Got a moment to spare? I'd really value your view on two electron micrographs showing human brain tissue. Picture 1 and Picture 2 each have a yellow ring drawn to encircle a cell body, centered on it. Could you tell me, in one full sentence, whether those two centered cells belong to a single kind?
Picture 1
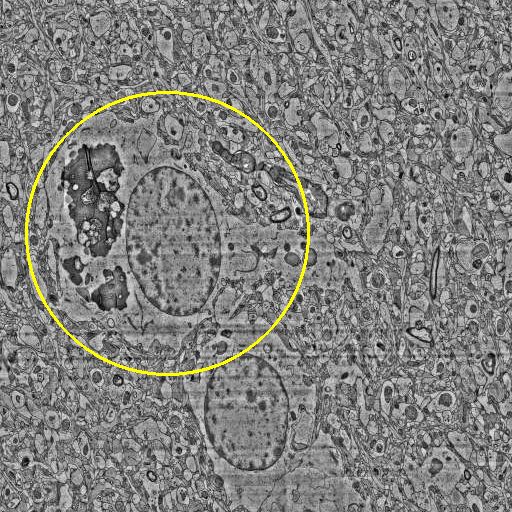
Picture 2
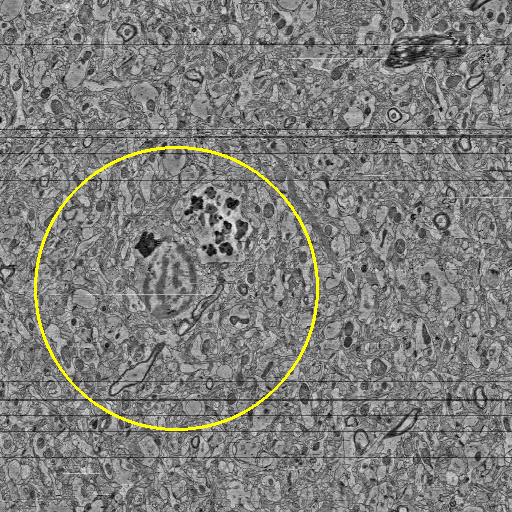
No, the two centered cells in Picture 1 and Picture 2 are of two kinds.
